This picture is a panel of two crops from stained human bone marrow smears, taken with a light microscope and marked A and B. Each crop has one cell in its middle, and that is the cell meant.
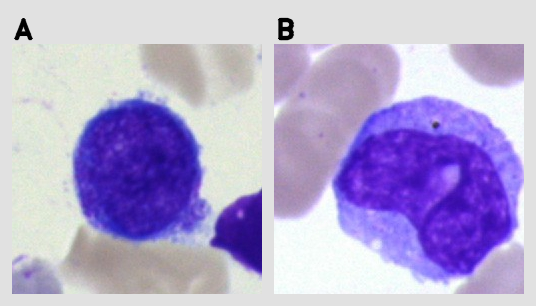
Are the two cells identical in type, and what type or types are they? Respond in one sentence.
No, what crop A shows is a blast, and what crop B shows is a monocyte.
